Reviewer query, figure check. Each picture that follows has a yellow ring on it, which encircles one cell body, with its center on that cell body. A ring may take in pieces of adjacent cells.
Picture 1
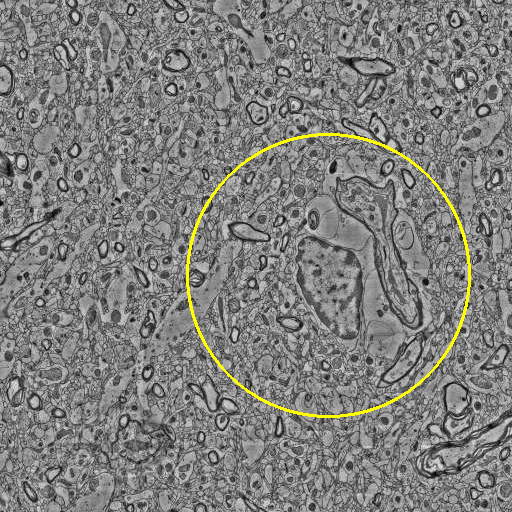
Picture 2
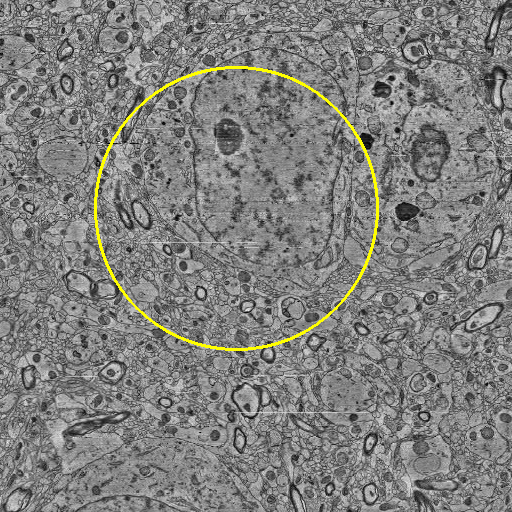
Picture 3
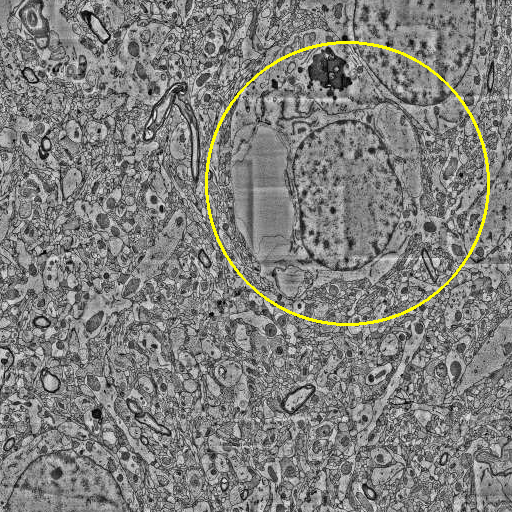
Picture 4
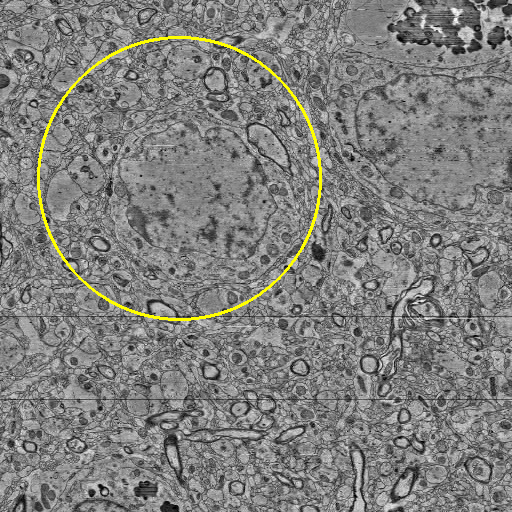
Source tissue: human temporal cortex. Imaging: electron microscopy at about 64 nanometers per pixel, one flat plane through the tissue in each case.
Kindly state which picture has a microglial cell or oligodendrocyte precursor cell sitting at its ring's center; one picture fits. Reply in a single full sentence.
In picture 1, the cell at the center of the ring is the requested one.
